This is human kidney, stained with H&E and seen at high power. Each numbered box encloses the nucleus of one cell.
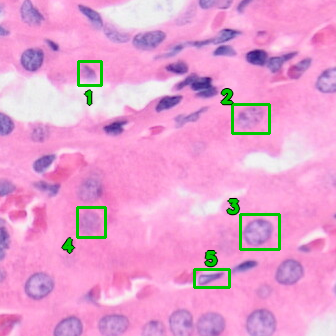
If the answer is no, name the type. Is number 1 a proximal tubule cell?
No, it is a loop of Henle or distal tubule cell.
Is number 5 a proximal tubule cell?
No, it is an endothelial cell.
